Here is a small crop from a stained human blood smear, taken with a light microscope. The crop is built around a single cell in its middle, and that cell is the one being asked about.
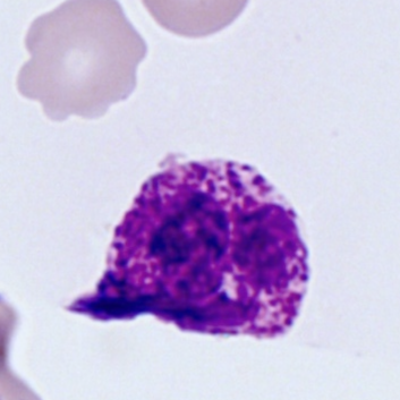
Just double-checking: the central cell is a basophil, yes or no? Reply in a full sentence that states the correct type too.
Yes, it is a basophil that lies in the middle.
